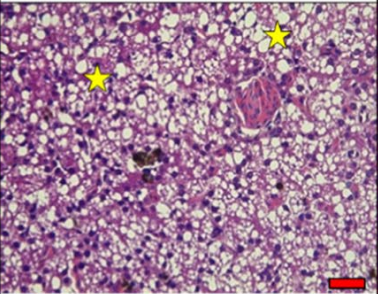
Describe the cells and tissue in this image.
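Liver parenchyma in which the hepatocytes show marked vacuolization. Most of the cytoplasm is replaced by clear, empty, rounded spaces of varying size, giving the tissue a foamy, lace-like look. Small dark purple nuclei lie scattered between the vacuoles along thin pink cytoplasmic strands. A vessel with pink-staining wall material lies toward the upper right, and a small cluster of brown pigment is seen near the centre.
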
